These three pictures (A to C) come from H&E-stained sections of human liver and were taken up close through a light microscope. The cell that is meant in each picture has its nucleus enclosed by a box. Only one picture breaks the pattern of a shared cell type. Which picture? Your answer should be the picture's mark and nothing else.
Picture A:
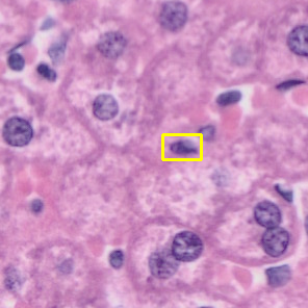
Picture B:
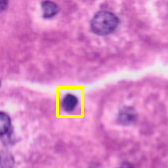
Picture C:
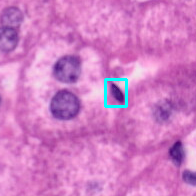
B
